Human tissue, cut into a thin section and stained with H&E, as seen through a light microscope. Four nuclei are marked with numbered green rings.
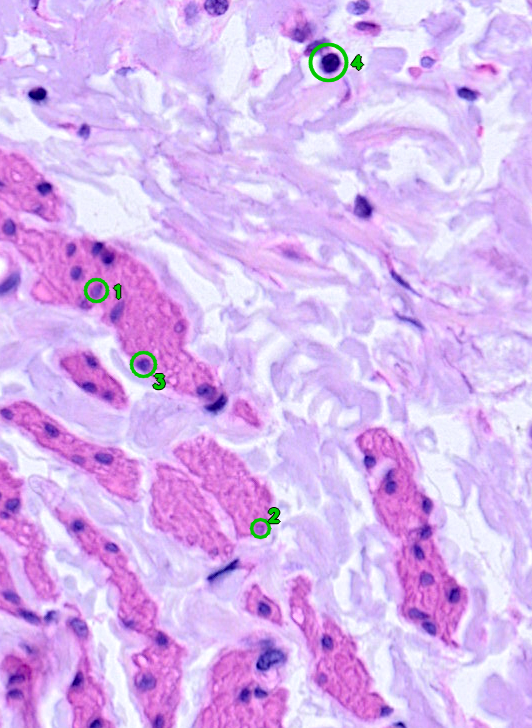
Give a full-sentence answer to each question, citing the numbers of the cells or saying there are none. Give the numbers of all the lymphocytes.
In this set of numbered cells, only cell 4 is a lymphocyte.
